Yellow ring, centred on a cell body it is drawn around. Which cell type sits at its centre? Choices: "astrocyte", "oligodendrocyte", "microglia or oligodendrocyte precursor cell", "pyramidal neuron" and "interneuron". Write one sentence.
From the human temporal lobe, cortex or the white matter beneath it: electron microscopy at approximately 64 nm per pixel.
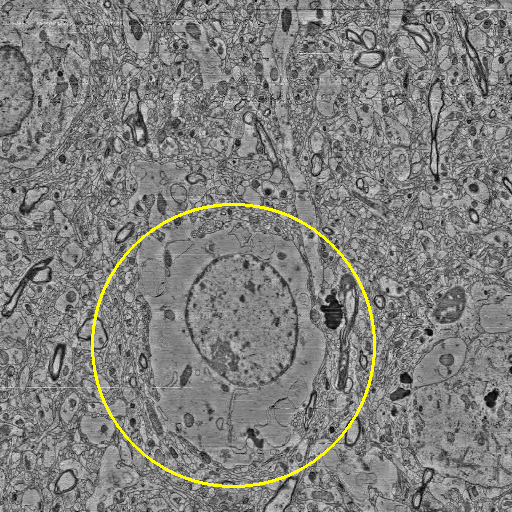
At the centre of the ring sits an astrocyte.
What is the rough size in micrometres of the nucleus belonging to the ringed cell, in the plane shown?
In this plane, about 9 micrometres in length and 7 in width.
